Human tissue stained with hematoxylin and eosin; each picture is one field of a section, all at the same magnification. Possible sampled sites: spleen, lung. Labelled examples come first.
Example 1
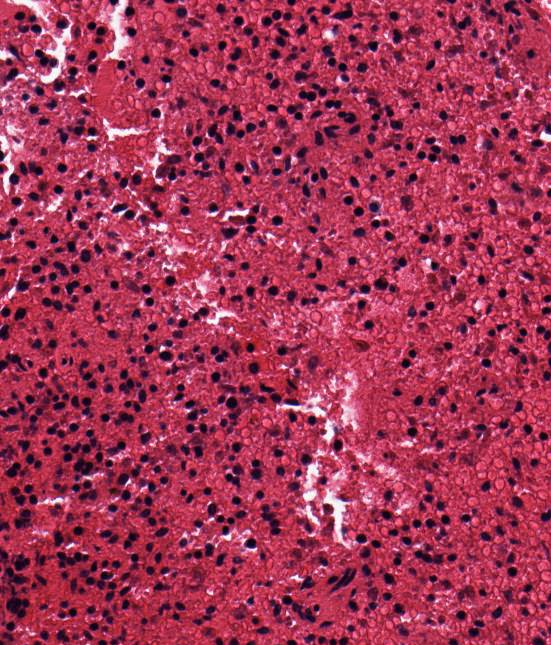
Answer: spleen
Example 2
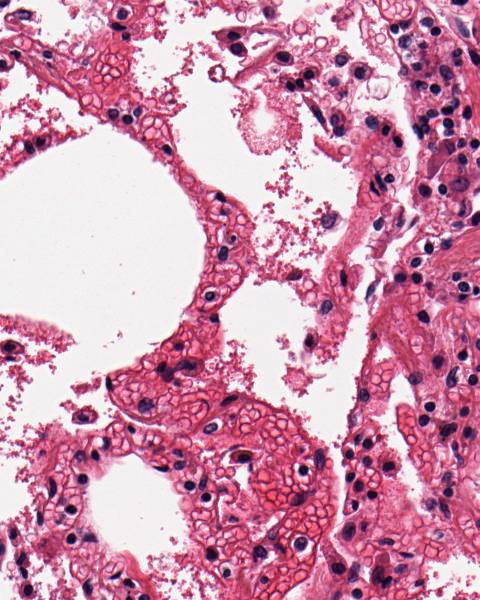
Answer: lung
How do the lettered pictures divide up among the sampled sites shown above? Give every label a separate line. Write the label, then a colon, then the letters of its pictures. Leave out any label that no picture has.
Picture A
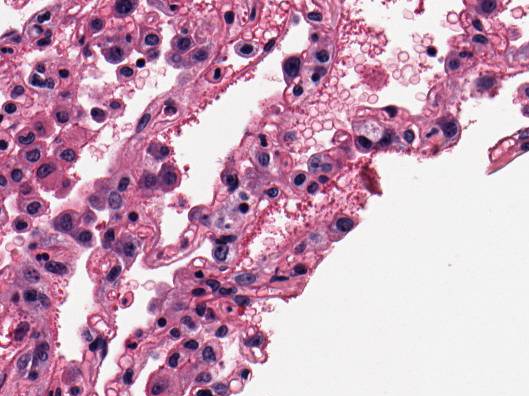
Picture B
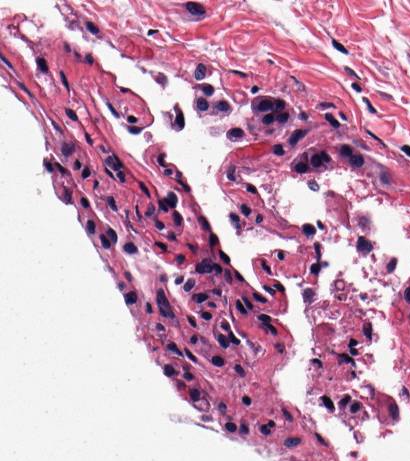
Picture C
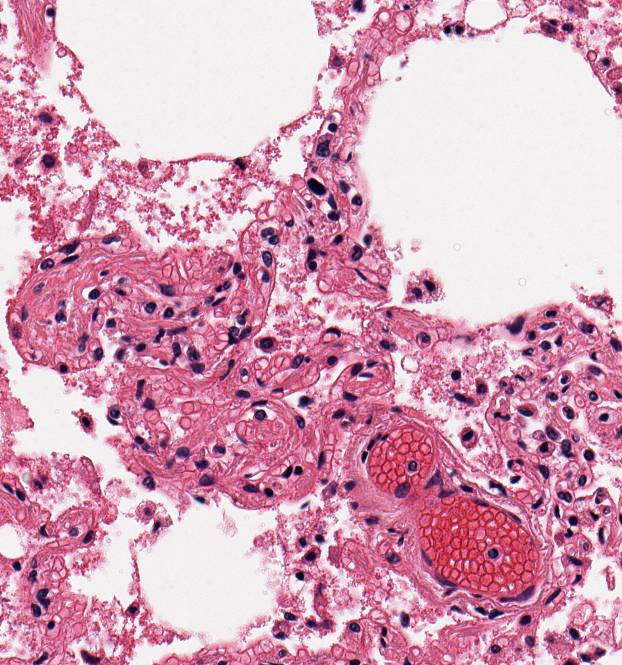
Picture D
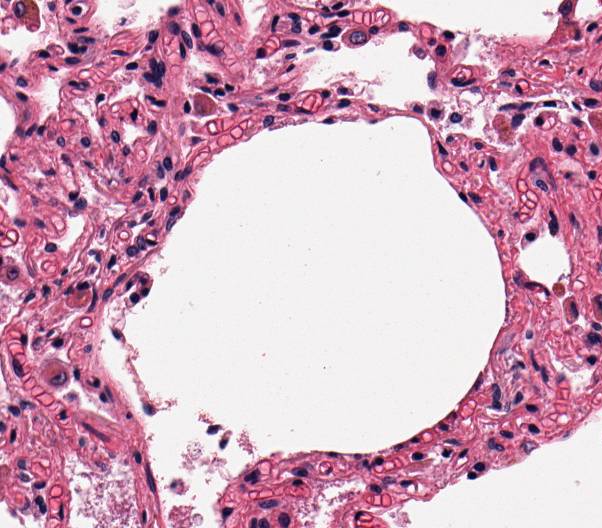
lung: A, B, C, D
